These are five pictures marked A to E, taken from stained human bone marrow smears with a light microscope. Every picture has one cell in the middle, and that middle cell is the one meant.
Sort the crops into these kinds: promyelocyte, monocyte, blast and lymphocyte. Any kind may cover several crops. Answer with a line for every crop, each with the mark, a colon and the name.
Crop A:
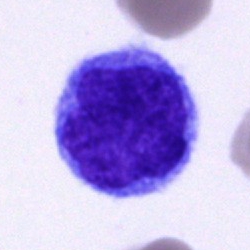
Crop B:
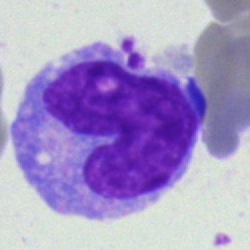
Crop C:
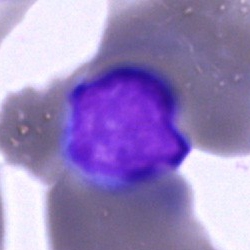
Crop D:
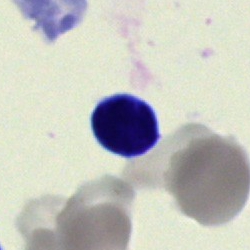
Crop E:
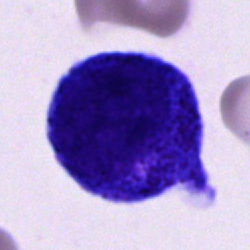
A: blast
B: monocyte
C: lymphocyte
D: lymphocyte
E: promyelocyte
